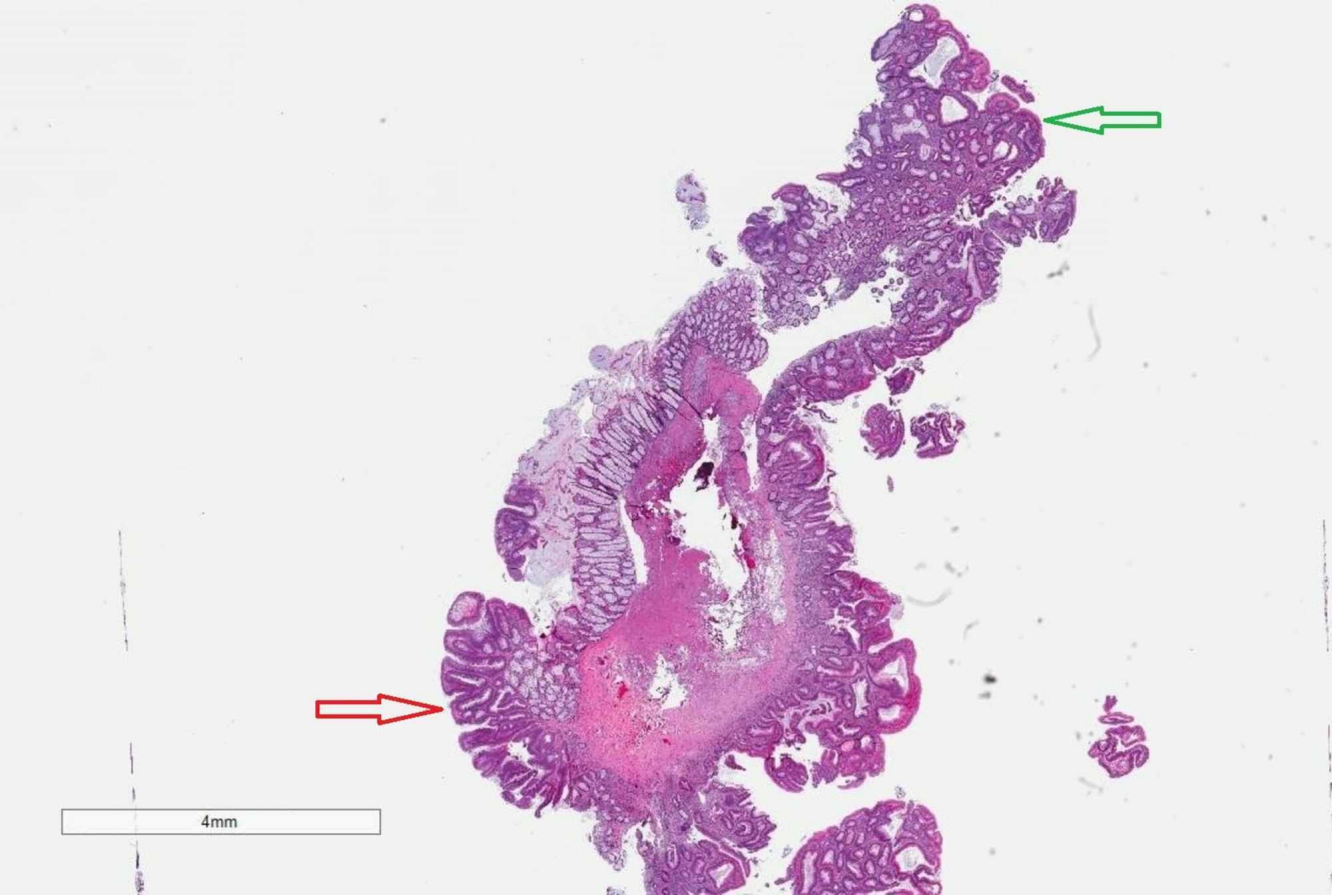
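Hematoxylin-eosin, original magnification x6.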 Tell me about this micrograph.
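The stalk is covered by crowded glandular epithelium that stains deep purple, much darker than the few paler, more regular crypts seen along one side. Along the lower left the epithelium rises into long, slender finger-like projections, giving a villous pattern. Toward the upper right the covering is made instead of packed rounded and tubular glands with a flatter surface, giving a non-villous pattern.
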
